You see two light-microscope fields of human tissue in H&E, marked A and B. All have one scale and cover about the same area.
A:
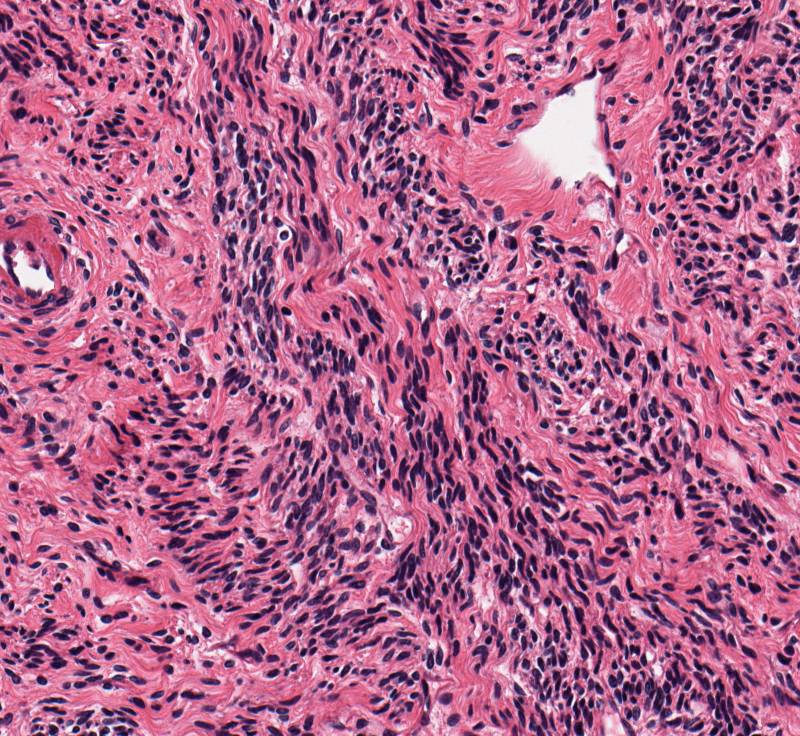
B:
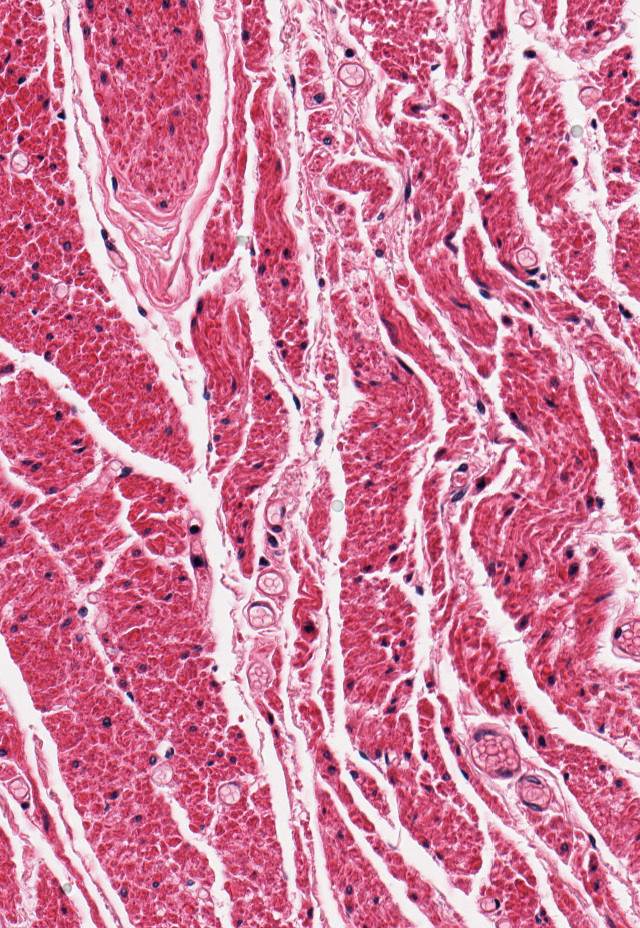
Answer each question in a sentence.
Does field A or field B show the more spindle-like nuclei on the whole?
On the whole the nuclei of field A are more drawn out than those of field B.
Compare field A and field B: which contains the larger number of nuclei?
The larger number of nuclei is in field A.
